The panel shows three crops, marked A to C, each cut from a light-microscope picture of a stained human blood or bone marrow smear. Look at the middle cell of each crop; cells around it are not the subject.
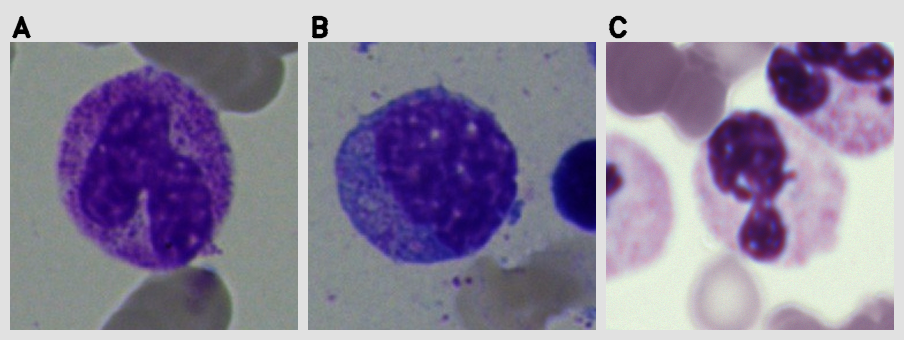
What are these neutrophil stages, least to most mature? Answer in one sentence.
From earliest to most mature stage, the crops go crop B (a myelocyte), crop A (a band neutrophil) and crop C (a segmented neutrophil).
